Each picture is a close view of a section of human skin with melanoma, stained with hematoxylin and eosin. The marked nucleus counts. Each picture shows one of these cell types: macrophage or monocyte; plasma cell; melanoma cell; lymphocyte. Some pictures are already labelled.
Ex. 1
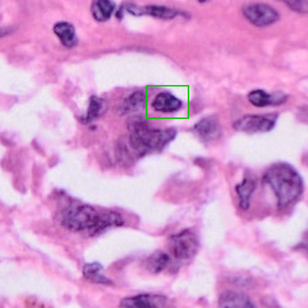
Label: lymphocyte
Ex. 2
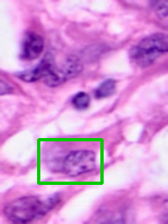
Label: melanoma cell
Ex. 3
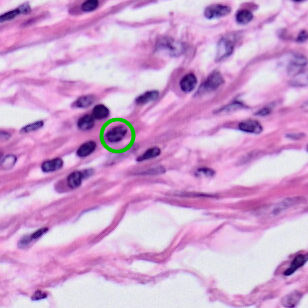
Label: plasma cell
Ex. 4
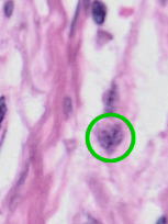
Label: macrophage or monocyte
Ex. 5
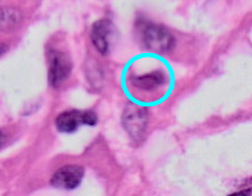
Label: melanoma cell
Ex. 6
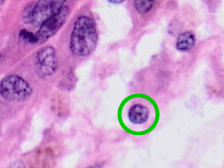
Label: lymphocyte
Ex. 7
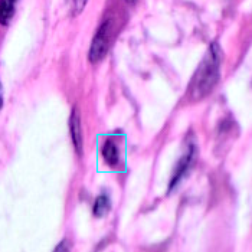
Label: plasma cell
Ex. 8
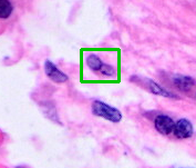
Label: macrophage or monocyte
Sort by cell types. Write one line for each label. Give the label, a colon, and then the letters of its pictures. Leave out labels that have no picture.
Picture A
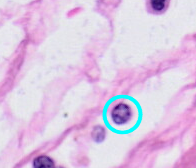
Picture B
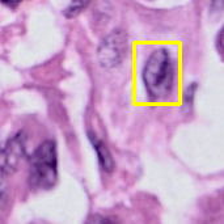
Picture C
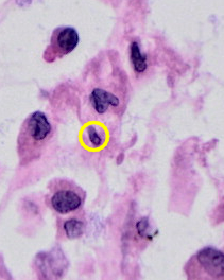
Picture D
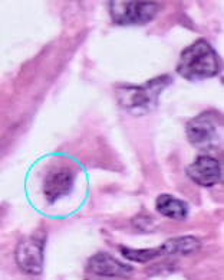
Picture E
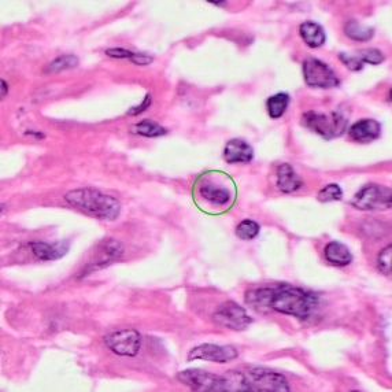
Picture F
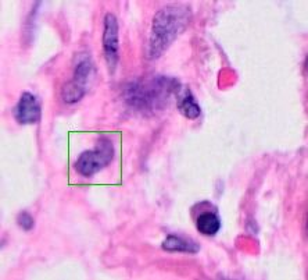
macrophage or monocyte: C, E, F
melanoma cell: B, D
lymphocyte: A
